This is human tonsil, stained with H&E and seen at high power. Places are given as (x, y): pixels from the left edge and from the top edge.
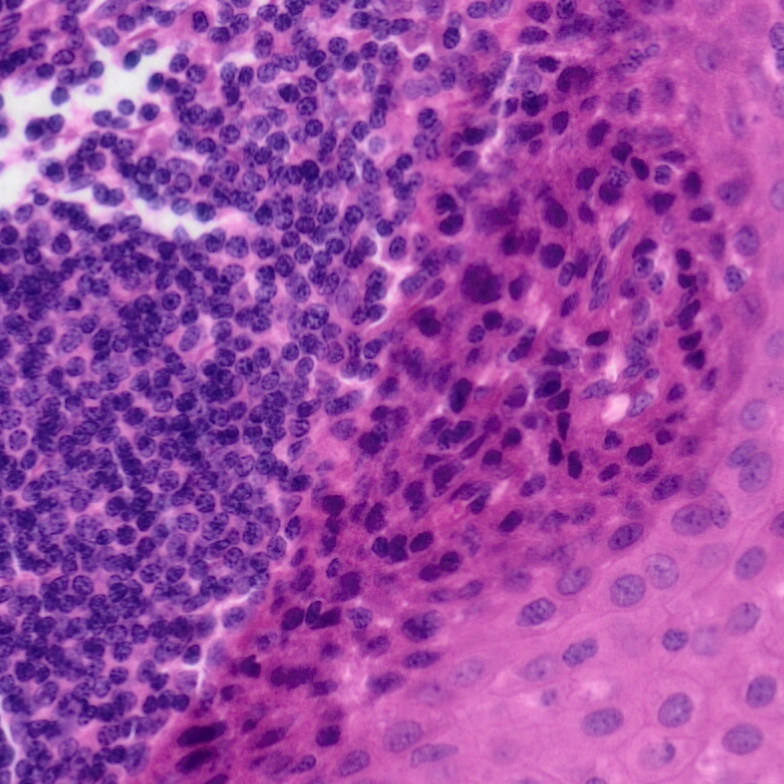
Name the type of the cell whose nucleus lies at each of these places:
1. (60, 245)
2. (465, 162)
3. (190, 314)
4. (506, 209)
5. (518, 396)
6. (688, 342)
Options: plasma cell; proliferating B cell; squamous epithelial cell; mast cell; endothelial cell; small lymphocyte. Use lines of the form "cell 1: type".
cell 1: small lymphocyte
cell 2: squamous epithelial cell
cell 3: small lymphocyte
cell 4: squamous epithelial cell
cell 5: squamous epithelial cell
cell 6: squamous epithelial cell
